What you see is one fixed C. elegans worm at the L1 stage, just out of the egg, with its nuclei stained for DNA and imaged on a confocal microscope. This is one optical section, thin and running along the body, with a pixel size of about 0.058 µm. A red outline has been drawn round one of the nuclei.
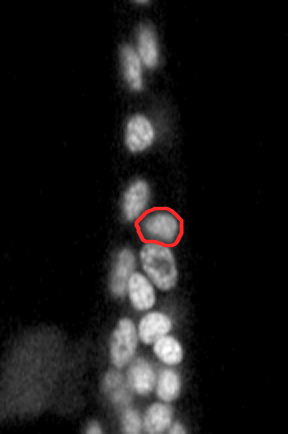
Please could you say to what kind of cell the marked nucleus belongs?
neuron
